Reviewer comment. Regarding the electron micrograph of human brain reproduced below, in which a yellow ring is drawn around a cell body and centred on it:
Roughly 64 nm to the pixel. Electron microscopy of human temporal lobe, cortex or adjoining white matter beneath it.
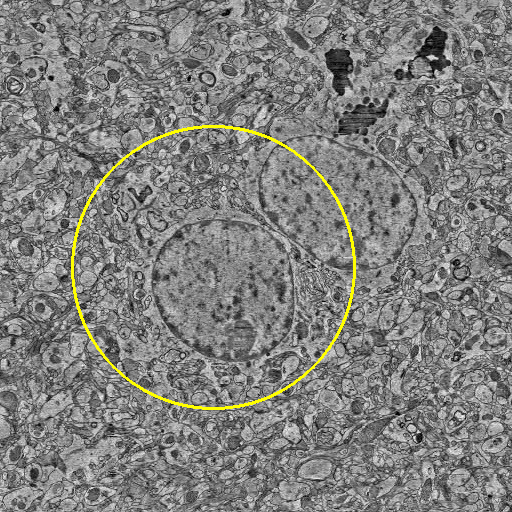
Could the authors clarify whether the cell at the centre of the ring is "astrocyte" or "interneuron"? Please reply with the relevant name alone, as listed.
astrocyte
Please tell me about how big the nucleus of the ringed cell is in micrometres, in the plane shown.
In this plane the ringed cell's nucleus is roughly 9 micrometres across.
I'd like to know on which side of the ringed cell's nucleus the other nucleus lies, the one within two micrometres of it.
That other nucleus sits to the upper right of it.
